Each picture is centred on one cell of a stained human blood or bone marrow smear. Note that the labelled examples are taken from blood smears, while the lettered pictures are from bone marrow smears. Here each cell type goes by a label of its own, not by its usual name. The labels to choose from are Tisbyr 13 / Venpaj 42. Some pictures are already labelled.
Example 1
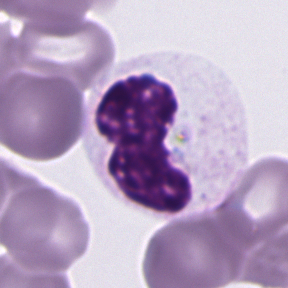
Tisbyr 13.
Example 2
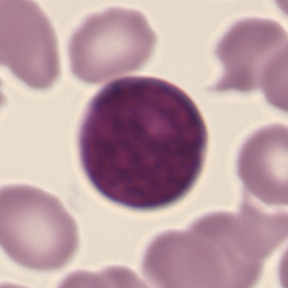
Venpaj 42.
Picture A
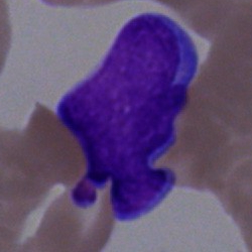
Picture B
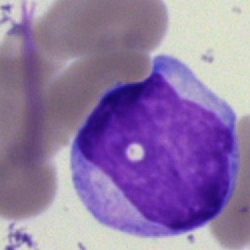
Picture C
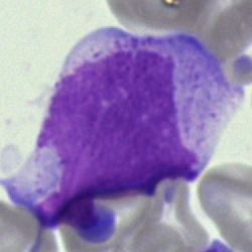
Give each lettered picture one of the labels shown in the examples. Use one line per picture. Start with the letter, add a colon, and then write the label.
A: Venpaj 42.
B: Venpaj 42.
C: Venpaj 42.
